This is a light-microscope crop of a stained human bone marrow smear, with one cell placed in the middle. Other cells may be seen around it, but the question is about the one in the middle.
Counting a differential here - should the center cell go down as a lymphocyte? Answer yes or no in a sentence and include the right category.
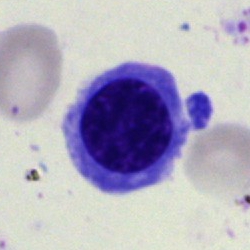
No, the central cell is properly termed an erythroblast, not a lymphocyte.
